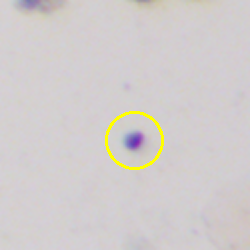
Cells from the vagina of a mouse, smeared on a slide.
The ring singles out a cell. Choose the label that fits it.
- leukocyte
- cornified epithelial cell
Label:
leukocyte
